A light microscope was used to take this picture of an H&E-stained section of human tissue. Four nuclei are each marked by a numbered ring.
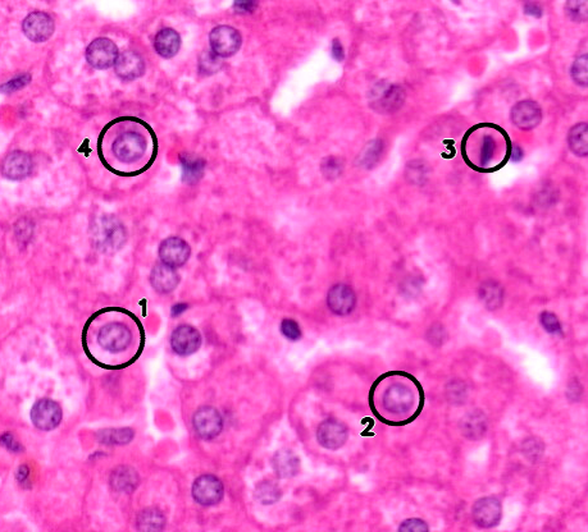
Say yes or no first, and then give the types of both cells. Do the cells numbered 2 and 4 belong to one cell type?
Yes, that cells 2 and 4 are both hepatocytes holds true.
